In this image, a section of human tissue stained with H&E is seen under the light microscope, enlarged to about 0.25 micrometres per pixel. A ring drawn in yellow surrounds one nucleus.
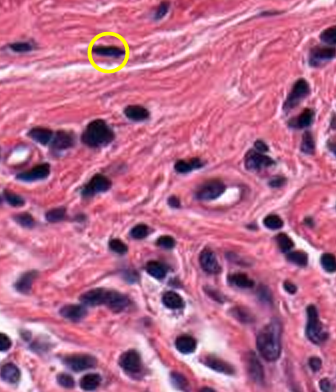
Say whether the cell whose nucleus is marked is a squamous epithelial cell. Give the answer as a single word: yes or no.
no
